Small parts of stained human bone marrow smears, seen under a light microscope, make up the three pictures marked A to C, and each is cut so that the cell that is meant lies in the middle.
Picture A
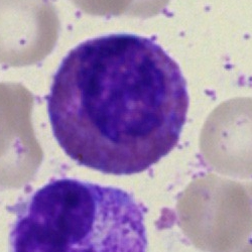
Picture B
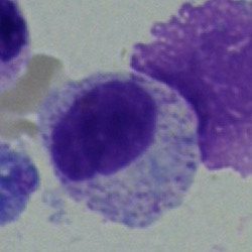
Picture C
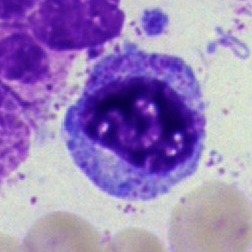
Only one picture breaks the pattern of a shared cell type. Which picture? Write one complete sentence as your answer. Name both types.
All pictures except A show myelocytes; picture A shows an eosinophil.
